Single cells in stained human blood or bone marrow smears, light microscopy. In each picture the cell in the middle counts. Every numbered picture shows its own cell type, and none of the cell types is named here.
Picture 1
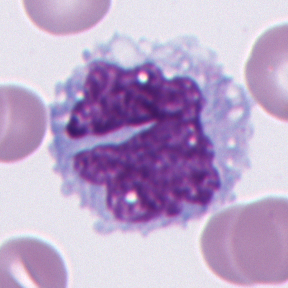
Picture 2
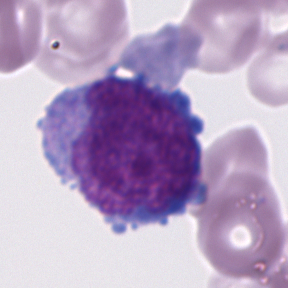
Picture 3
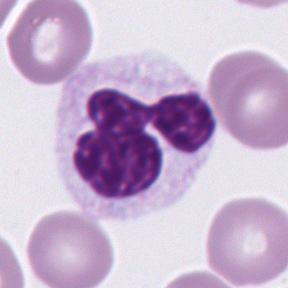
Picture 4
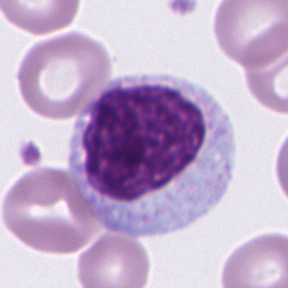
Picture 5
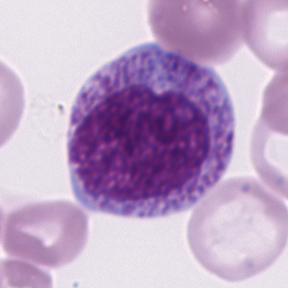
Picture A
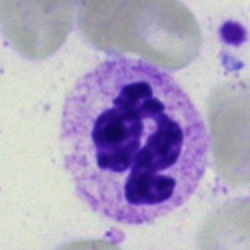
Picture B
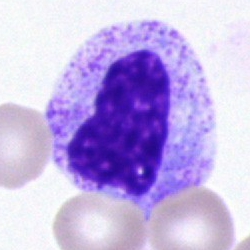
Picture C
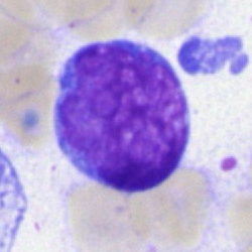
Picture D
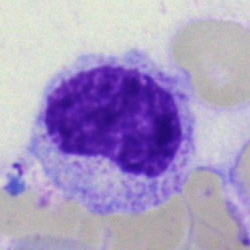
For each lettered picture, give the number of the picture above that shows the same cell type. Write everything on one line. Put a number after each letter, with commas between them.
A 3, B 4, C 2, D 4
